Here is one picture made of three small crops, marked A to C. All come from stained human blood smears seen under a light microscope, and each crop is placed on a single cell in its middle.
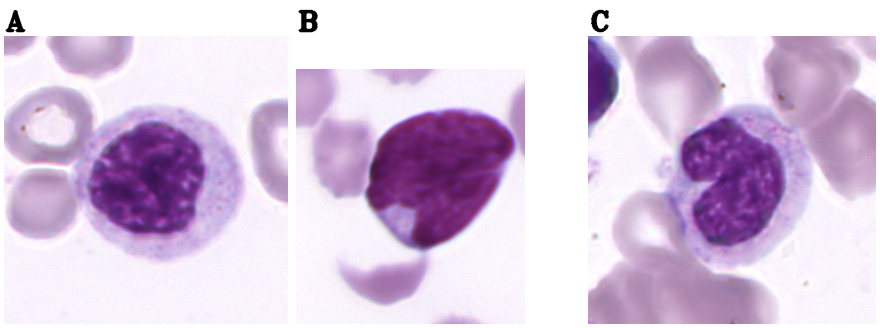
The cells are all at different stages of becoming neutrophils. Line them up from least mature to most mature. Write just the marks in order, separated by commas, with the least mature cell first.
B, A, C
